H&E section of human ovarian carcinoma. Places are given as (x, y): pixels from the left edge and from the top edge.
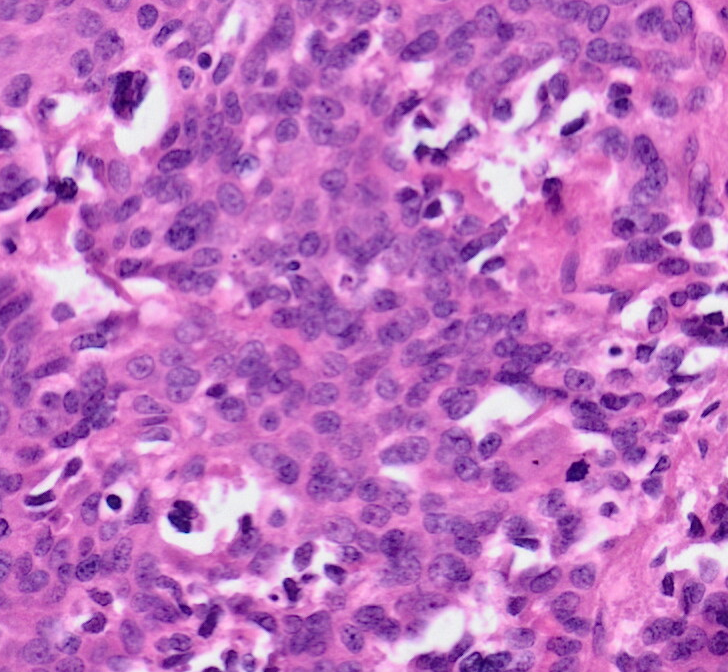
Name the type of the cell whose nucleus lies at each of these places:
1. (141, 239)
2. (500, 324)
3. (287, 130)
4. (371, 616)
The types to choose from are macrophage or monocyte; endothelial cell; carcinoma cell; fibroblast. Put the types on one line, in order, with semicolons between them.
macrophage or monocyte; carcinoma cell; carcinoma cell; carcinoma cell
